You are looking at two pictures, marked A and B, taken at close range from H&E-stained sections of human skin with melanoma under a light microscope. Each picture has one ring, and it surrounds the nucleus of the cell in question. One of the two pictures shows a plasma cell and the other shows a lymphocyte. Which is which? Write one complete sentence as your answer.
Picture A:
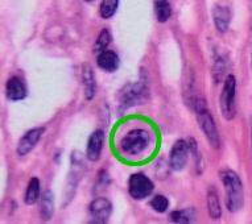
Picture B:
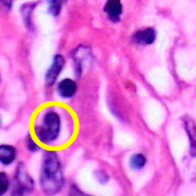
Picture A is of a plasma cell, and picture B is of a lymphocyte.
